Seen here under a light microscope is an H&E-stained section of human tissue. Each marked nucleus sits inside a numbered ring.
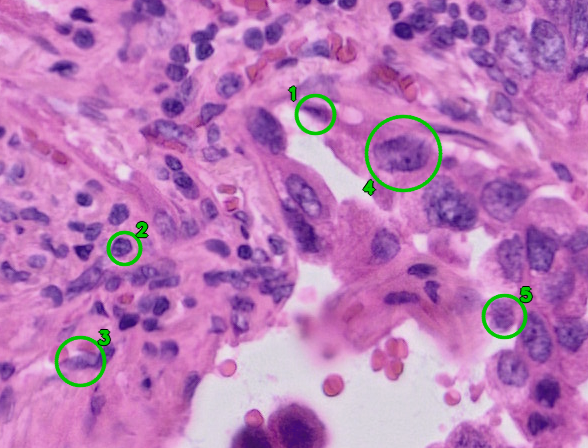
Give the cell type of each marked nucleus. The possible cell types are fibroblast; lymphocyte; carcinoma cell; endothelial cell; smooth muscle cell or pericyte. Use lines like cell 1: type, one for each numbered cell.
cell 1: carcinoma cell
cell 2: lymphocyte
cell 3: endothelial cell
cell 4: carcinoma cell
cell 5: carcinoma cell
